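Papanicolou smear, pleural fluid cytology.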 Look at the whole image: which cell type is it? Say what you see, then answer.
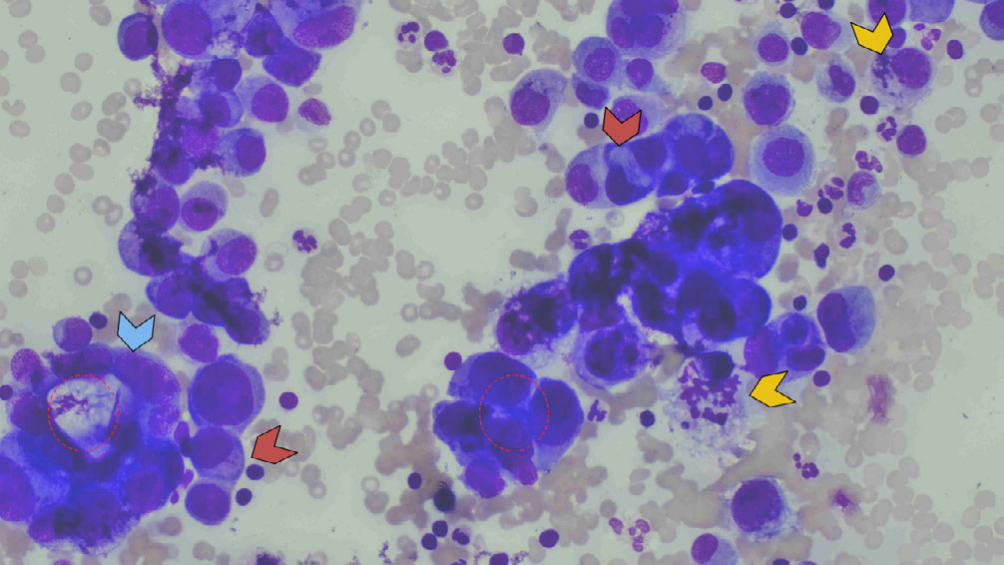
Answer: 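Large cells with big, dark, irregular nuclei form three-dimensional clusters. Some clusters form rings around a central space. The large cells lie among much smaller red blood cells and leukocytes. That points to this answer: adenocarcinoma.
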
